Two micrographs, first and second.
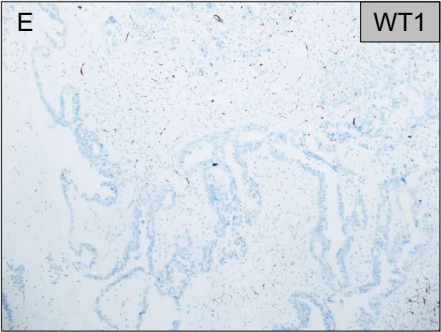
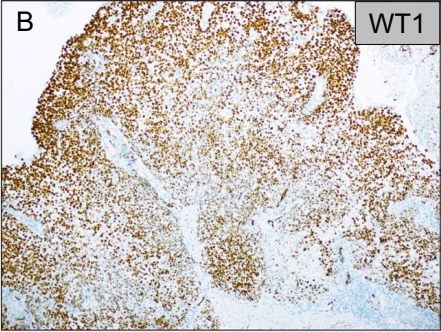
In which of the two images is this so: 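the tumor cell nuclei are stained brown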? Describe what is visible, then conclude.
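First image: the tumor cells are blue only, with just a few scattered brown stromal cells. Second image: most tumor nuclei across the sheets are dark brown. That points to this answer: the second image.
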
